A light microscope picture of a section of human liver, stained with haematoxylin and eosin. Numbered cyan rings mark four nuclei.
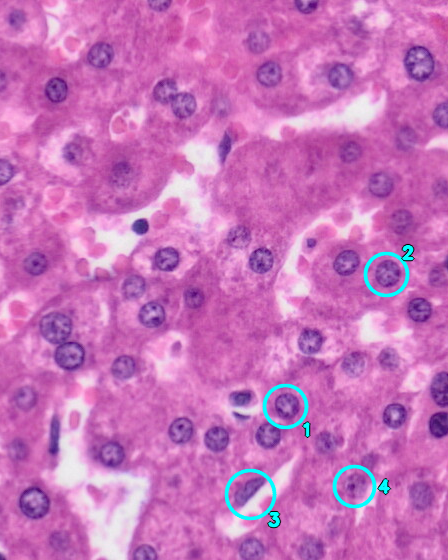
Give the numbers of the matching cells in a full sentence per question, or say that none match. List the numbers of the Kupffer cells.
Cell 3 is a Kupffer cell; every other numbered cell is something else.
